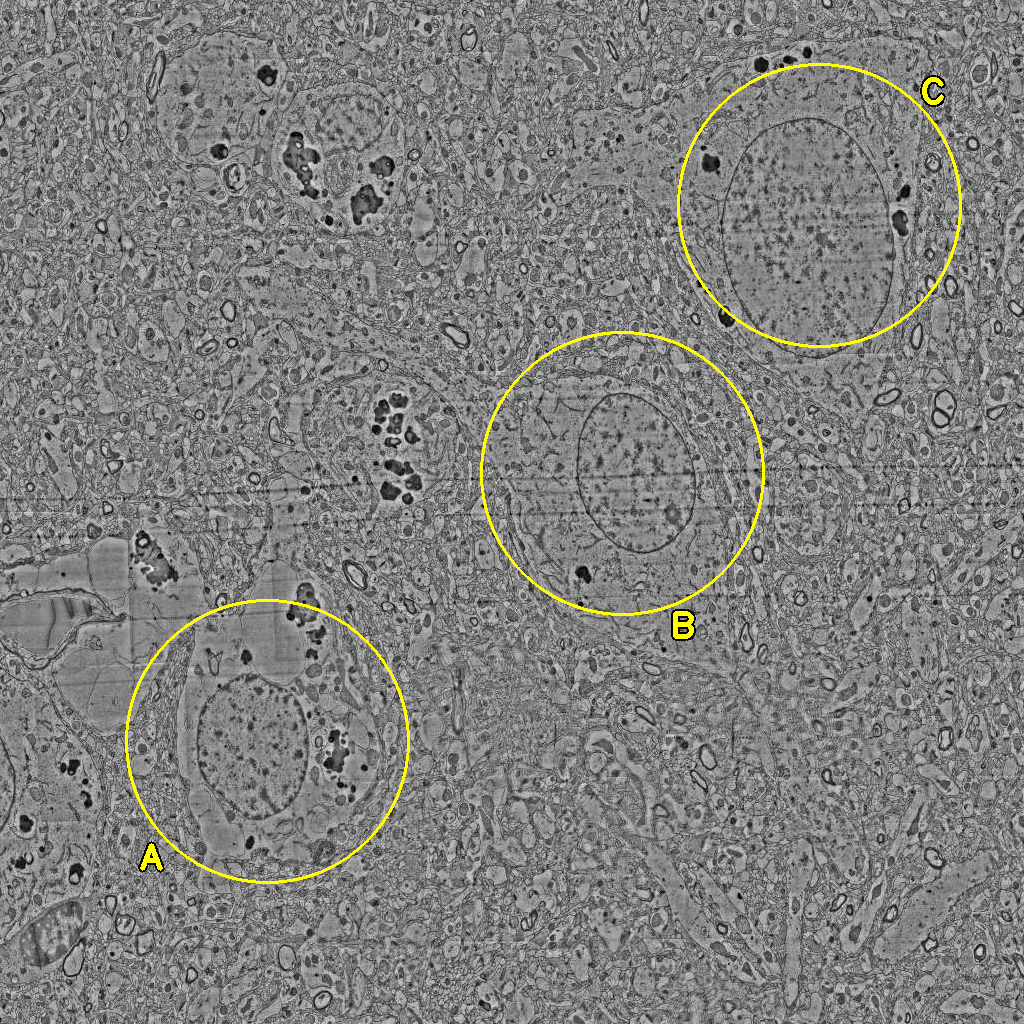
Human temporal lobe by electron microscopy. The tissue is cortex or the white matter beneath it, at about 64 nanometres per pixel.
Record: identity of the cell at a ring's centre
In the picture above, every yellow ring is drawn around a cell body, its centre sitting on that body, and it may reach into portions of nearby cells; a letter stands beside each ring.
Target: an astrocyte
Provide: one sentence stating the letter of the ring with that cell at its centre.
The letter of the ring centred on a cell of that kind is A.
